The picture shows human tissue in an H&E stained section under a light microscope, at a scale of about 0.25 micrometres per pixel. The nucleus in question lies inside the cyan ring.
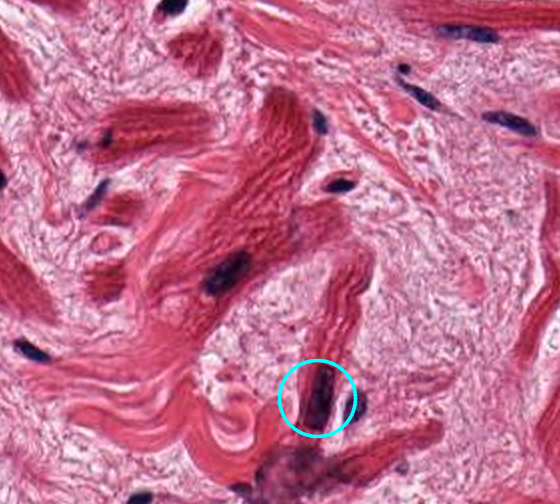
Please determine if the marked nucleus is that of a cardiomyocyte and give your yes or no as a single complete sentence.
Yes, it is a cardiomyocyte that holds the marked nucleus.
